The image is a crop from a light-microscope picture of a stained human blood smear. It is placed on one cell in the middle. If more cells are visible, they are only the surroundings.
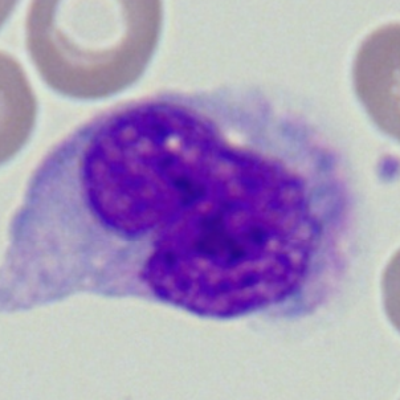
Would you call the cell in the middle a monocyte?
yes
